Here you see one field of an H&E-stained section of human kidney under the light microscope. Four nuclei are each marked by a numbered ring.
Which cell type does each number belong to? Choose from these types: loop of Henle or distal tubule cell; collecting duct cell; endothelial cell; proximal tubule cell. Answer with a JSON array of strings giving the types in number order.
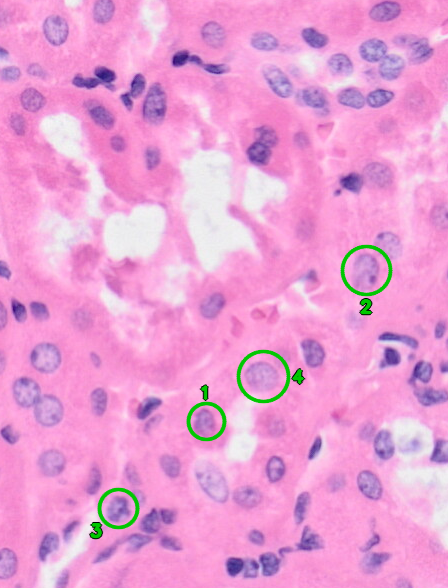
["proximal tubule cell", "proximal tubule cell", "collecting duct cell", "proximal tubule cell"]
